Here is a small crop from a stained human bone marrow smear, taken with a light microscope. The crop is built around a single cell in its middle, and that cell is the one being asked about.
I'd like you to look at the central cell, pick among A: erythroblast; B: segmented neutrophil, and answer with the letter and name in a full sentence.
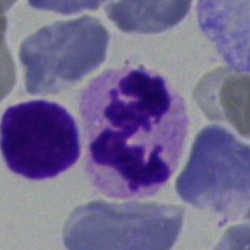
Option B is right, the centrally situated cell being a segmented neutrophil.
